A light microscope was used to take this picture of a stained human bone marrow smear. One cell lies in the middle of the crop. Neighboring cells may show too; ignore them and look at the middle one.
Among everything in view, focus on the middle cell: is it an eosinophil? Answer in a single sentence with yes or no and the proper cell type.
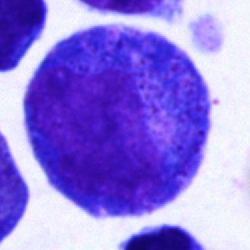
No, the centrally located cell is a promyelocyte rather than an eosinophil.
